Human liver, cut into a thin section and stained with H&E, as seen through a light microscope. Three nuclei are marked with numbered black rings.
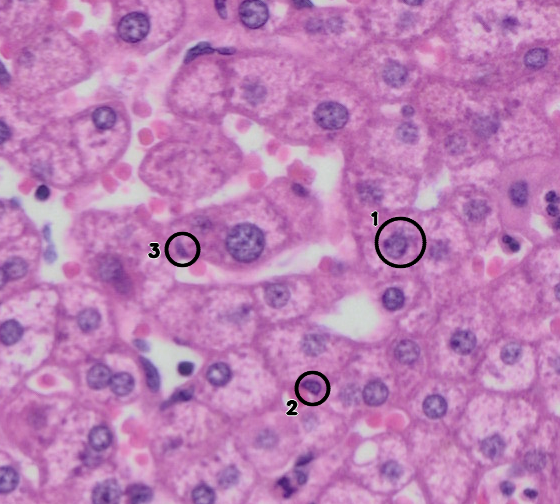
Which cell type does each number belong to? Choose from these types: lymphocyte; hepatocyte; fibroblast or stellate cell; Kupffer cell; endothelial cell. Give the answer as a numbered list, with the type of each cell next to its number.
1. hepatocyte
2. fibroblast or stellate cell
3. fibroblast or stellate cell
